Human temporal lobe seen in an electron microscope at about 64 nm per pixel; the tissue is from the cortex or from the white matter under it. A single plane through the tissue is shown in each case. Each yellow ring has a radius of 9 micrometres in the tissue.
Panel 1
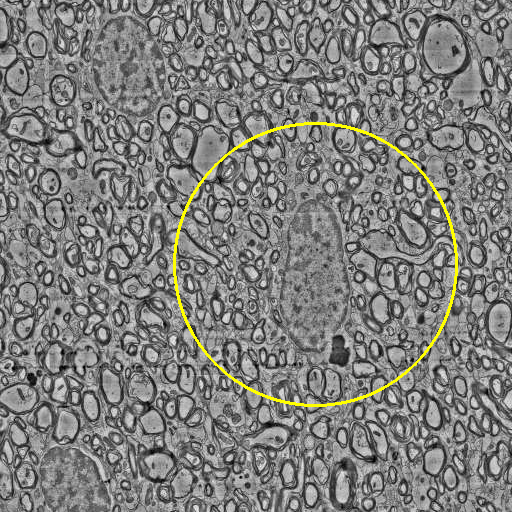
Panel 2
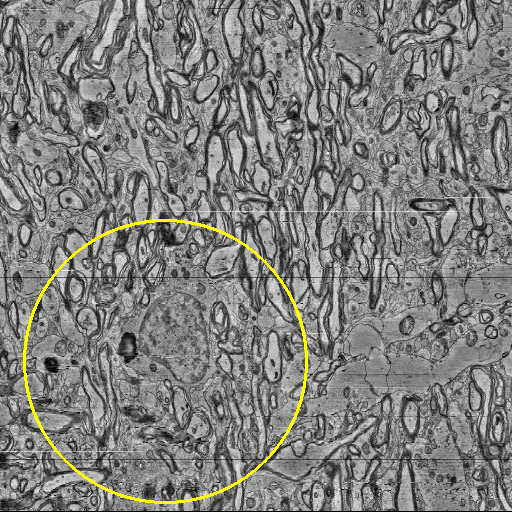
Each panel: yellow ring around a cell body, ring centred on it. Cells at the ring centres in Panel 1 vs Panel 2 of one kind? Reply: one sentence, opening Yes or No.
Yes, Panel 1 and Panel 2 have cells of one kind at the ring centres.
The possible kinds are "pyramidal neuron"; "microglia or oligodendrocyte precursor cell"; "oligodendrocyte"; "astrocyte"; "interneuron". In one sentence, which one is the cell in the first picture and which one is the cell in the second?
Each one of the two ringed cells is an oligodendrocyte.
